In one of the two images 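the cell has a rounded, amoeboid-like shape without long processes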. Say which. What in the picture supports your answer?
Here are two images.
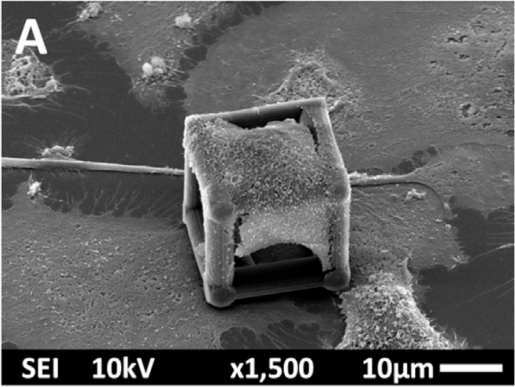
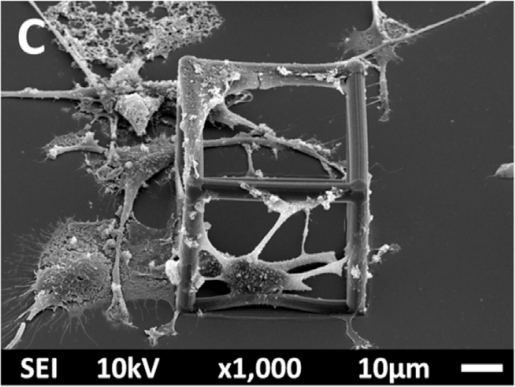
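Second image: cells send long thin branching processes across and along the bars of the cage. That points to this answer: the first image.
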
